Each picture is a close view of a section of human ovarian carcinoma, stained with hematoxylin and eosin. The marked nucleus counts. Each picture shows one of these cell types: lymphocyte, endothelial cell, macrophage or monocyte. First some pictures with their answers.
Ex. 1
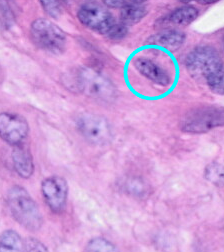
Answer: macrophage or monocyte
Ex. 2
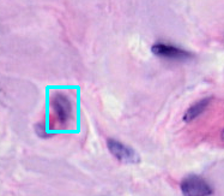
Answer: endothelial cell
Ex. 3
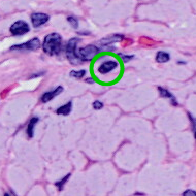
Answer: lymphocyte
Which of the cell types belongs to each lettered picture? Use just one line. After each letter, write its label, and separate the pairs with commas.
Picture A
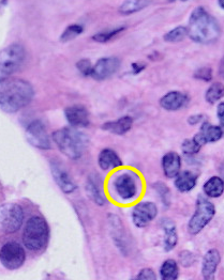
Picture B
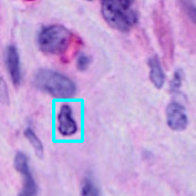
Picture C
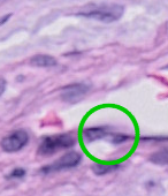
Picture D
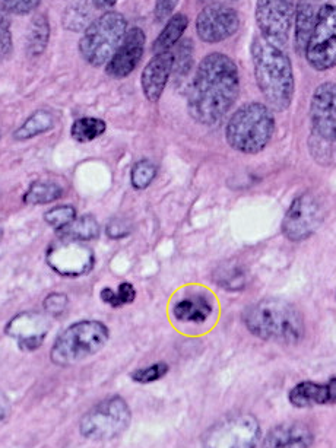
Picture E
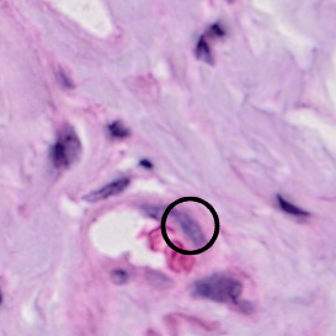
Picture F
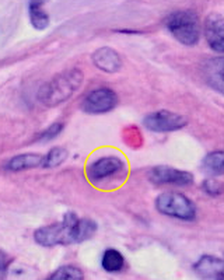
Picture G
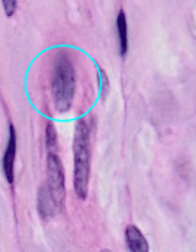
A lymphocyte, B lymphocyte, C endothelial cell, D lymphocyte, E endothelial cell, F endothelial cell, G endothelial cell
